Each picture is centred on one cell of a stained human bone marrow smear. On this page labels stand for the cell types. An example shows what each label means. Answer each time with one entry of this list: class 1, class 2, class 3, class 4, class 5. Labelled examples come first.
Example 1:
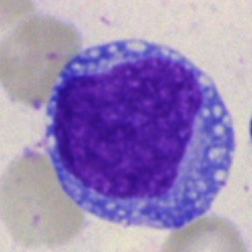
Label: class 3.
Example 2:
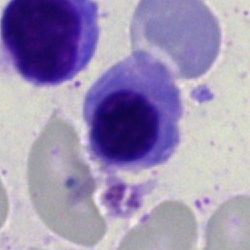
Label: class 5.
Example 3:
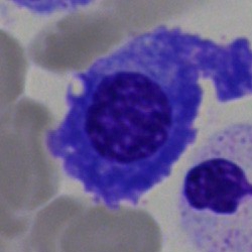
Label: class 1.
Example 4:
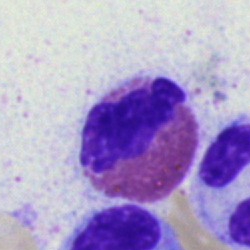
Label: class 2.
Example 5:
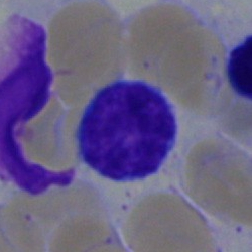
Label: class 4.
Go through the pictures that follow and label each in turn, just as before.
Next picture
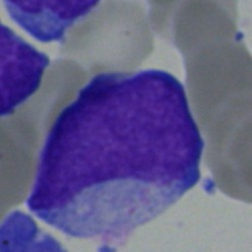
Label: class 3.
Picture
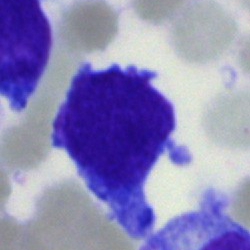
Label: class 3.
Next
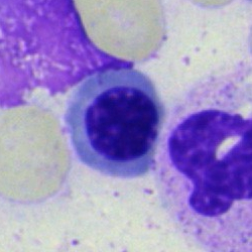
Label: class 5.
